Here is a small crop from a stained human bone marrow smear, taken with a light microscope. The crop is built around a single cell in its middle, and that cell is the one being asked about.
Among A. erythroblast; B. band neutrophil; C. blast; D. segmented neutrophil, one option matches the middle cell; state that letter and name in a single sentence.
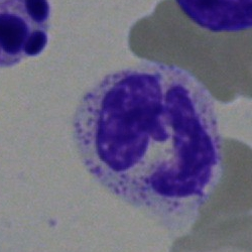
The middle of the crop holds a segmented neutrophil, which points to option D.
